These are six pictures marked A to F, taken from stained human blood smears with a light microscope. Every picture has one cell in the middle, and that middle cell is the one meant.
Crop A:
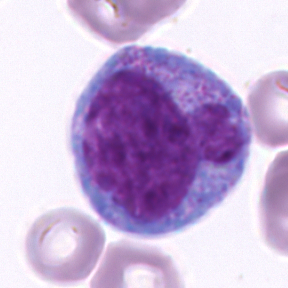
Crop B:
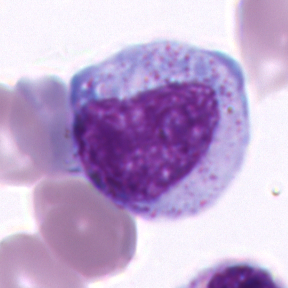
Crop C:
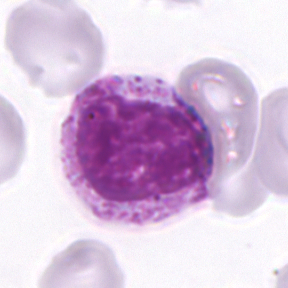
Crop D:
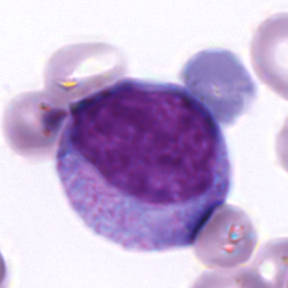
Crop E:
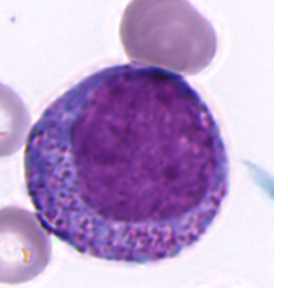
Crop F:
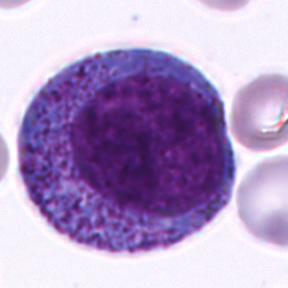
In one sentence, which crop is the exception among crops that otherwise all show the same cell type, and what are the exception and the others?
Only in crop C is there a myelocyte; all other crops show promyelocytes.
